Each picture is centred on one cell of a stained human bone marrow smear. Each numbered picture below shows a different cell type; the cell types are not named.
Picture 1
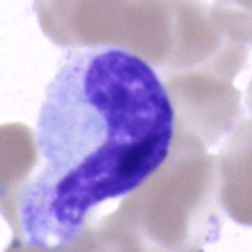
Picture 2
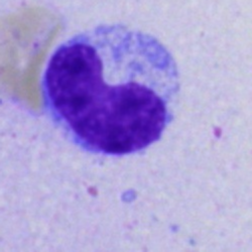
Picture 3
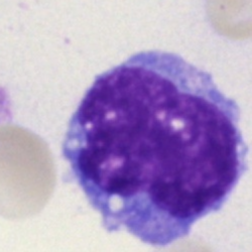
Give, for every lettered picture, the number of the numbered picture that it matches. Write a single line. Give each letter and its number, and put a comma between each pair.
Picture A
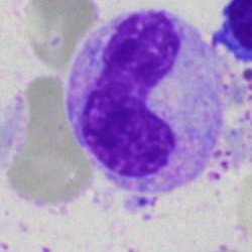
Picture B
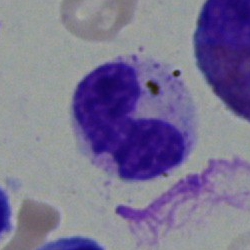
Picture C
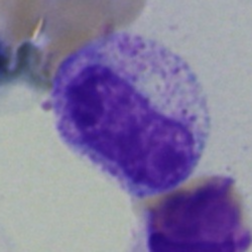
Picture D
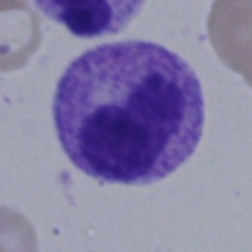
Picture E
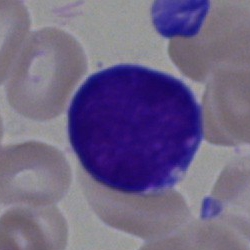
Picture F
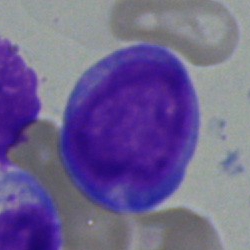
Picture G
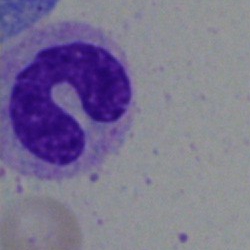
A 1, B 1, C 2, D 2, E 3, F 3, G 1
